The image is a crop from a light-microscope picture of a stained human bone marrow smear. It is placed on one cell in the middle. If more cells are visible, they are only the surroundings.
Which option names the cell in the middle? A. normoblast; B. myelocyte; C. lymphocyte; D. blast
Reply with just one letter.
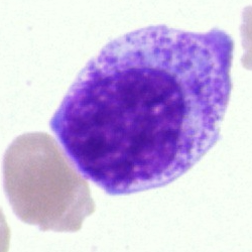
B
